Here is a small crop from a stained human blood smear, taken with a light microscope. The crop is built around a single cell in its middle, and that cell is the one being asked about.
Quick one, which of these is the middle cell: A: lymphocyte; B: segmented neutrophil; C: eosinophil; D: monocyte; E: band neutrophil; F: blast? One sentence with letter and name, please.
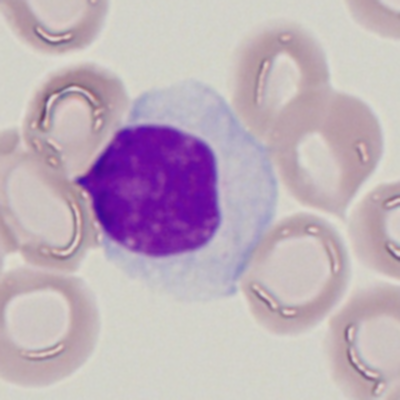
Seen at the centre of the crop is a lymphocyte, so option A is correct.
